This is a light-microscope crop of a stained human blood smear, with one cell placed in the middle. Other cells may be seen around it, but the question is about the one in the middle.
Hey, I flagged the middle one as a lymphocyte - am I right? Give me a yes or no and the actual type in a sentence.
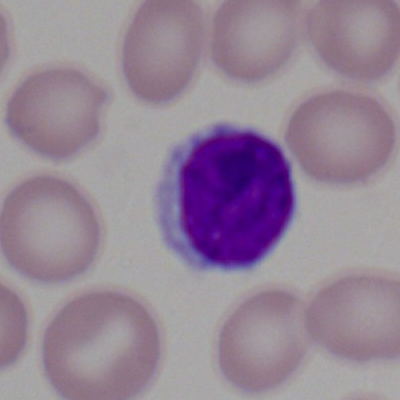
Yes, the cell placed centrally within the crop is a lymphocyte.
